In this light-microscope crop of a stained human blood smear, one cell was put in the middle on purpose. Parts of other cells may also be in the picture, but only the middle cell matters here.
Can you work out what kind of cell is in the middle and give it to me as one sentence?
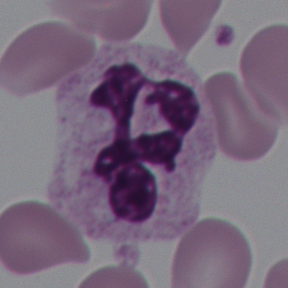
The central cell in this smear crop is a neutrophil.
